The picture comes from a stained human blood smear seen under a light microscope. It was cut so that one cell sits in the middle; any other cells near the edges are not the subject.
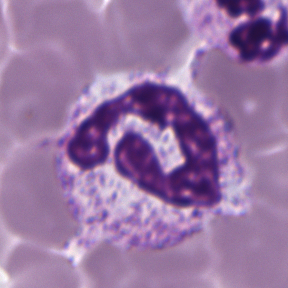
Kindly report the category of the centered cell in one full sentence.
At the center of the crop sits a neutrophil.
